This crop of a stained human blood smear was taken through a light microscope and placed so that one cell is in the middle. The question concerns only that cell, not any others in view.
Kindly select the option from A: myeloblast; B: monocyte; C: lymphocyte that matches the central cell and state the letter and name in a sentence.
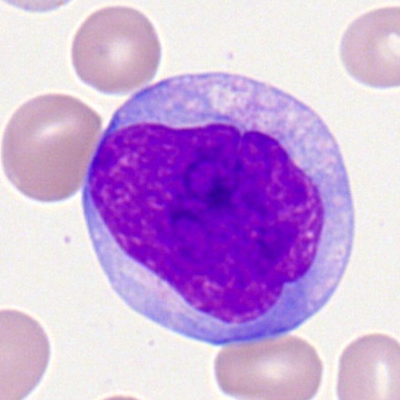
Option A is correct, and the cell in the centre is a myeloblast.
